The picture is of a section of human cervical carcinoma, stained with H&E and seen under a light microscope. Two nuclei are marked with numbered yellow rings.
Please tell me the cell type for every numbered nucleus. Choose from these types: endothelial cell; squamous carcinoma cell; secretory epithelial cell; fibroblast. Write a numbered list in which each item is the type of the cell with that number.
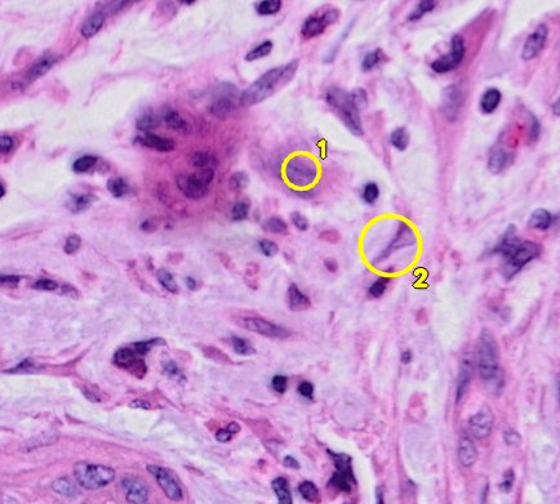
1. endothelial cell
2. fibroblast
